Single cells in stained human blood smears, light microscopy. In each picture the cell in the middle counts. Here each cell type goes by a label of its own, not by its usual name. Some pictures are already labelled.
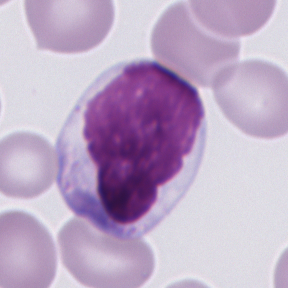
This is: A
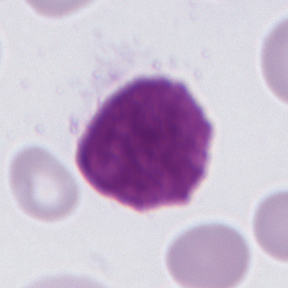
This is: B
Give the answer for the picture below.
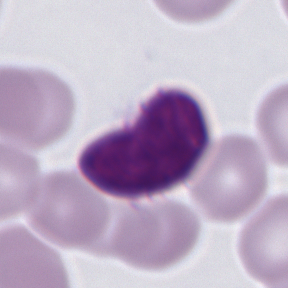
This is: B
